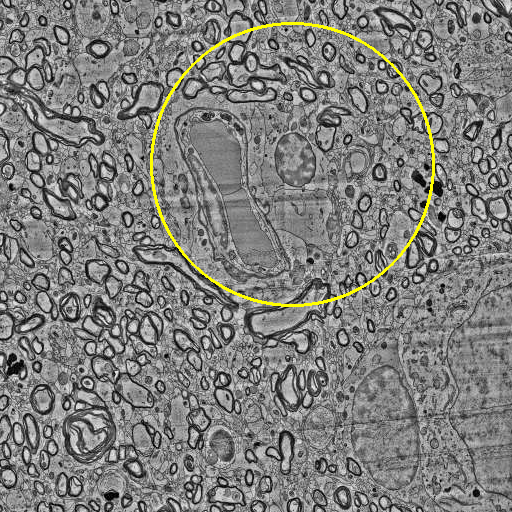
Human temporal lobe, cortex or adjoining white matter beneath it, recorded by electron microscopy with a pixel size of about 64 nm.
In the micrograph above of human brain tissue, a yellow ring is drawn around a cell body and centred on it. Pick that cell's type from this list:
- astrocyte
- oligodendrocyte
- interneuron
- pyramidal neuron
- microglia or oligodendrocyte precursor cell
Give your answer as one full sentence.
Going by the list, a microglial cell or oligodendrocyte precursor cell is the cell on which the yellow ring is centred.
